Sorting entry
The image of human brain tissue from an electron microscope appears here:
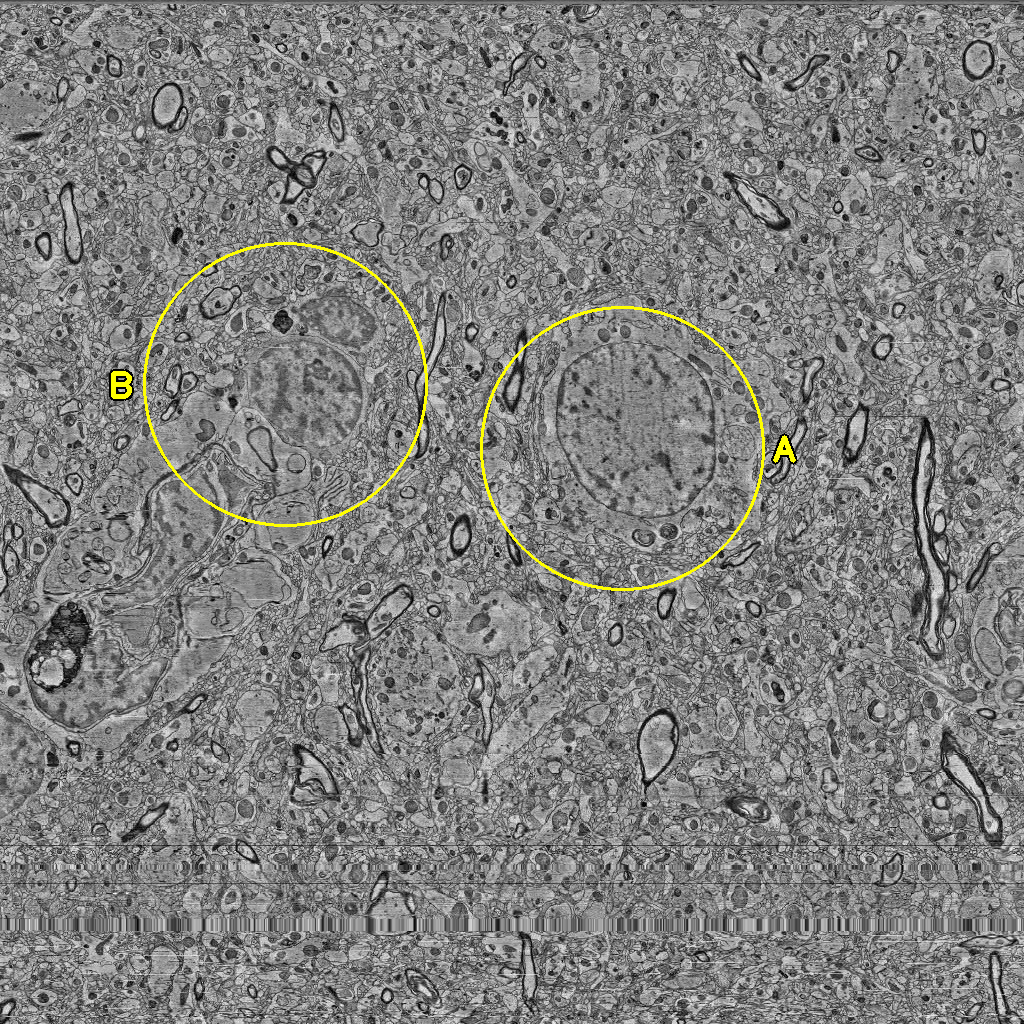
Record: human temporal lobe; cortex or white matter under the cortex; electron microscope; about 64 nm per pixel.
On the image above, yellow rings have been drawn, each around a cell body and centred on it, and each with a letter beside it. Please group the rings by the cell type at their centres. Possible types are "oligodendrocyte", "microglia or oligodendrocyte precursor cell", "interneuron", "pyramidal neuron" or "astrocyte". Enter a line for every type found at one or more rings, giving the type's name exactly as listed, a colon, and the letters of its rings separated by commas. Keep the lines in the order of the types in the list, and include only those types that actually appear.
oligodendrocyte: B
astrocyte: A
